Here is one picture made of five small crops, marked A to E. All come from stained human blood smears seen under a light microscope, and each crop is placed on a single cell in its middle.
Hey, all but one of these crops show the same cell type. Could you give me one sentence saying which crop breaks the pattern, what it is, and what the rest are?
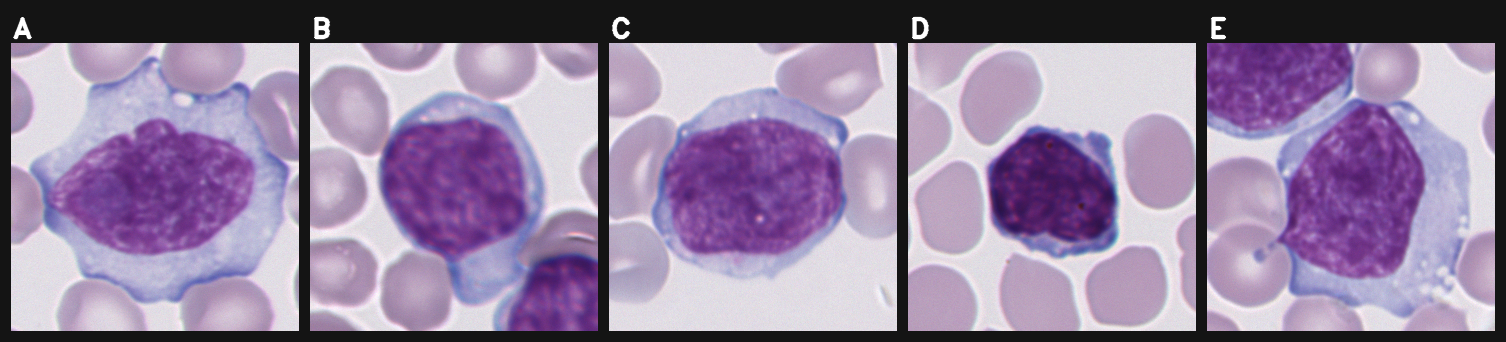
All of the other crops show myeloblasts; crop D, by contrast, is a typical lymphocyte.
